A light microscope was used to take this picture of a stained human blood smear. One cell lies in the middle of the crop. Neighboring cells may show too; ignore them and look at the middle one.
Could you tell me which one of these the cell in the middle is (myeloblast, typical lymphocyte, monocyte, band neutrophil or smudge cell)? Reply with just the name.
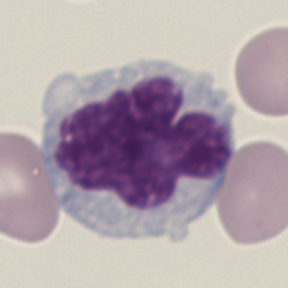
monocyte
